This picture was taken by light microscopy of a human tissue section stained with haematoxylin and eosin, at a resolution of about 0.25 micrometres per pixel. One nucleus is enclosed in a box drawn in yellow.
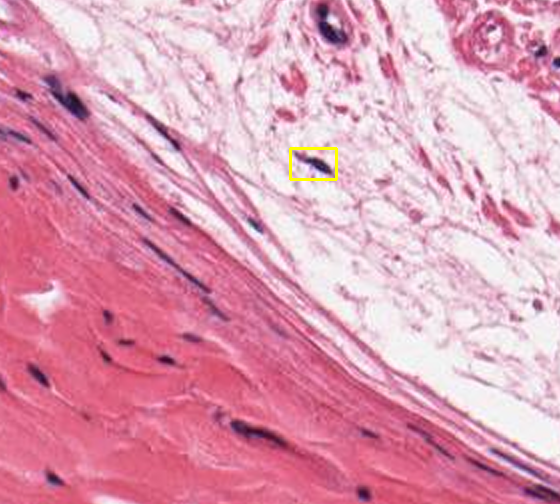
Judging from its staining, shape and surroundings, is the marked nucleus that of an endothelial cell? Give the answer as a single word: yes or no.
no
